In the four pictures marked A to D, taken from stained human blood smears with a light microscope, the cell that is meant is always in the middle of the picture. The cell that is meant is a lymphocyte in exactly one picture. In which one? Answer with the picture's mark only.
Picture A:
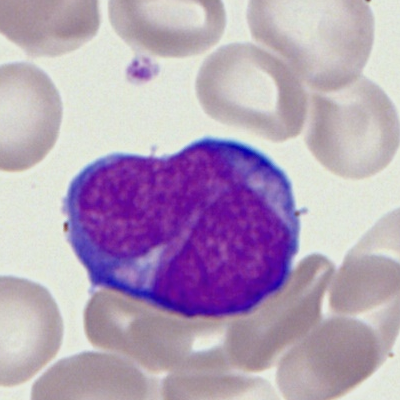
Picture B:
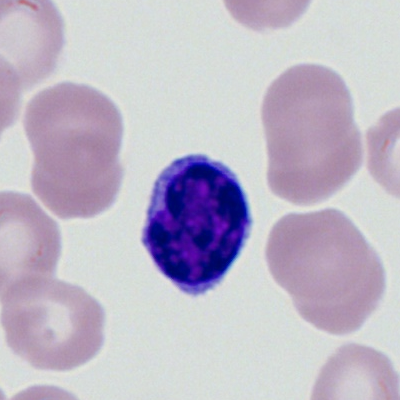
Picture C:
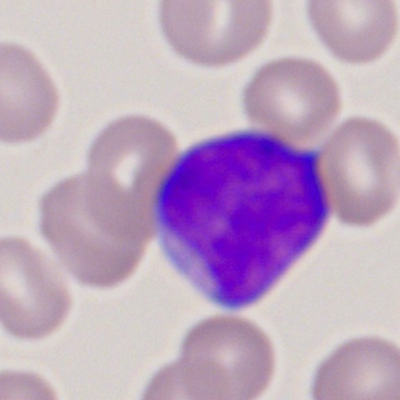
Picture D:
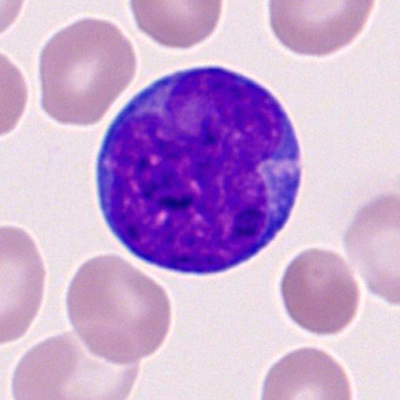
B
